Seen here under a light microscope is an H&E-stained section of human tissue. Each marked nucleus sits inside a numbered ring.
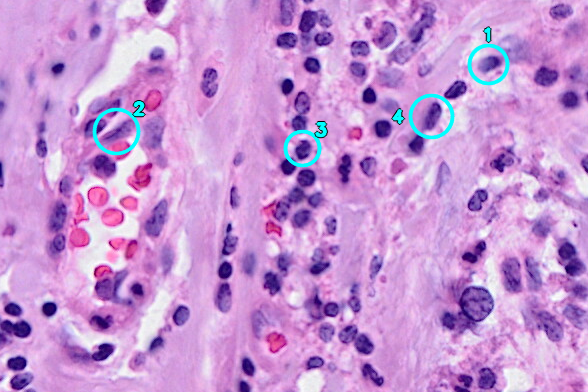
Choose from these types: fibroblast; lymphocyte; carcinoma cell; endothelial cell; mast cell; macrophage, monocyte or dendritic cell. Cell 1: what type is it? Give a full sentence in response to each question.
In the marked set, the cell given number 1 is a lymphocyte.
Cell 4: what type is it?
The nucleus with number 4 is that of a lymphocyte.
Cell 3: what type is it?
Cell 3, among those numbered, is a lymphocyte.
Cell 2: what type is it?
Marked with the number 2, this cell is an endothelial cell.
